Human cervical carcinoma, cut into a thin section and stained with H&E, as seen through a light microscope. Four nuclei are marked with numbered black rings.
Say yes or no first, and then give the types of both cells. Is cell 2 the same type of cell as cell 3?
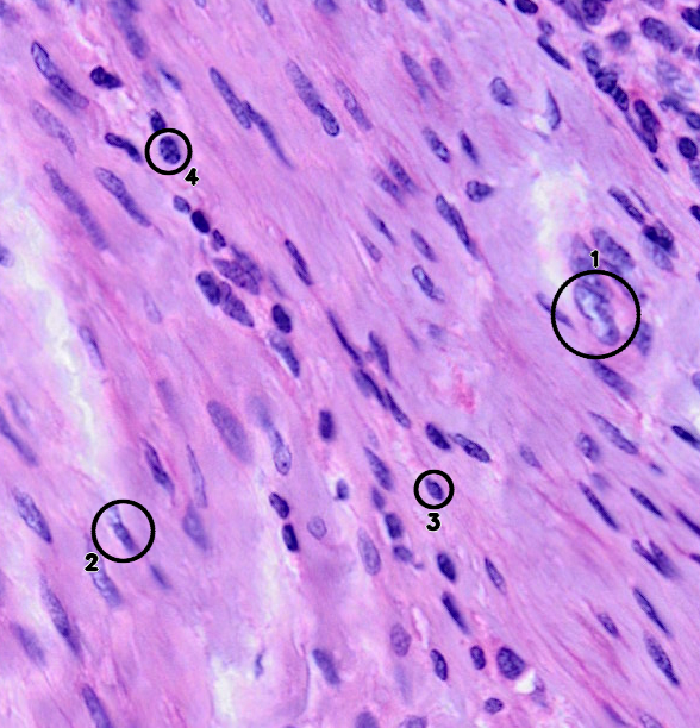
Yes, for cells 2 and 3 alike, the identity is that of fibroblasts.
